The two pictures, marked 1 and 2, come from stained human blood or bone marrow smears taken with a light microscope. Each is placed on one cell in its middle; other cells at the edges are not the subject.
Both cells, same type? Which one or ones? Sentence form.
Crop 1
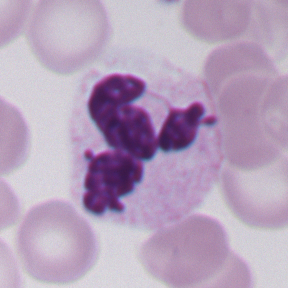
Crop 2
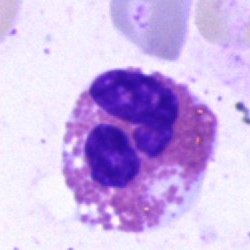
No, crop 1 shows a segmented neutrophil, whereas in crop 2 the cell is an eosinophil.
